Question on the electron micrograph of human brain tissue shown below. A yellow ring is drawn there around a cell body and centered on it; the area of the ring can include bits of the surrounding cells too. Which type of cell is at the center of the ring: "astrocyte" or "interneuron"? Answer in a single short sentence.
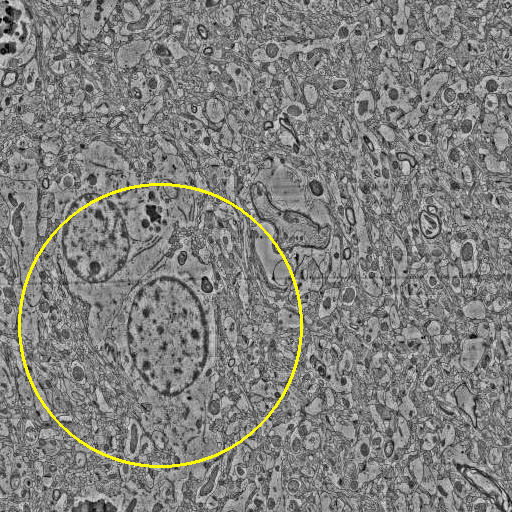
The ring is centered on an astrocyte.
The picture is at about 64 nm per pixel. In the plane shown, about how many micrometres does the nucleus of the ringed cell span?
In this plane, roughly 7 by 5 micrometres.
